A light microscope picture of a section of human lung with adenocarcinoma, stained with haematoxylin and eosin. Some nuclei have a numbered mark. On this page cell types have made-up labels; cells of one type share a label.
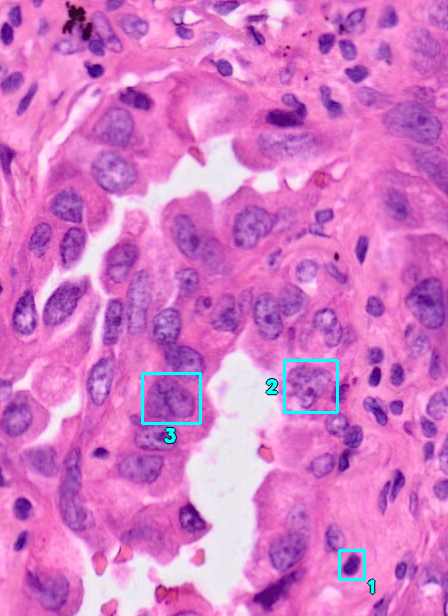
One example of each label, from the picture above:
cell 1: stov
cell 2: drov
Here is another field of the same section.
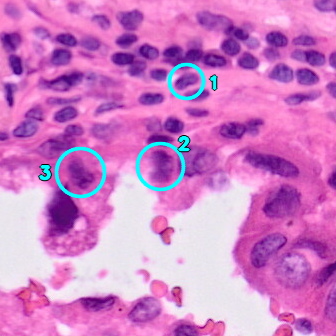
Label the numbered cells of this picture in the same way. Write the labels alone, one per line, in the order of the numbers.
stov
drov
drov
